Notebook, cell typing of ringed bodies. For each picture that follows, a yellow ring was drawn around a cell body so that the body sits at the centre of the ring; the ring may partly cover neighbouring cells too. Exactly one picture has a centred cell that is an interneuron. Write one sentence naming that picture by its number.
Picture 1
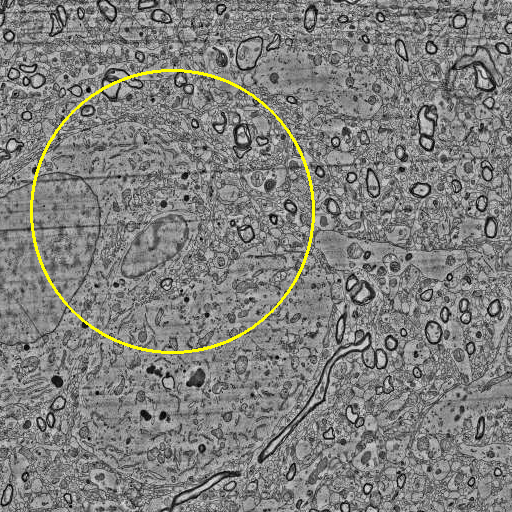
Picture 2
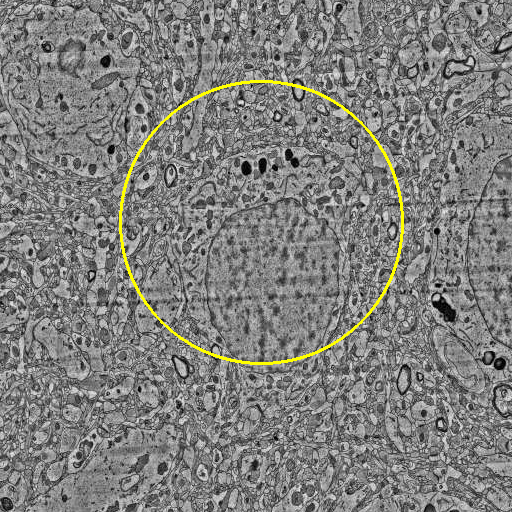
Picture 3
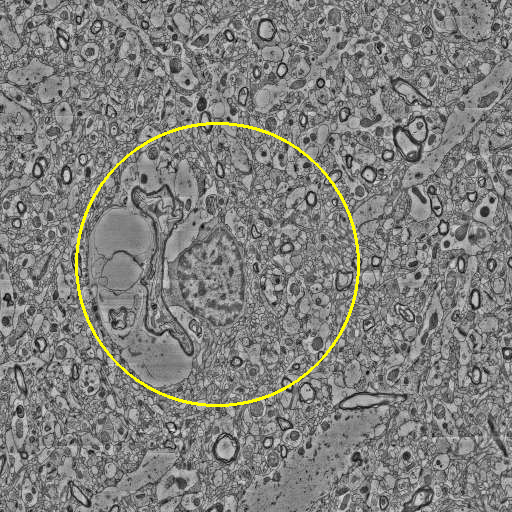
Picture 2 is the one with it at the centre of its ring.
